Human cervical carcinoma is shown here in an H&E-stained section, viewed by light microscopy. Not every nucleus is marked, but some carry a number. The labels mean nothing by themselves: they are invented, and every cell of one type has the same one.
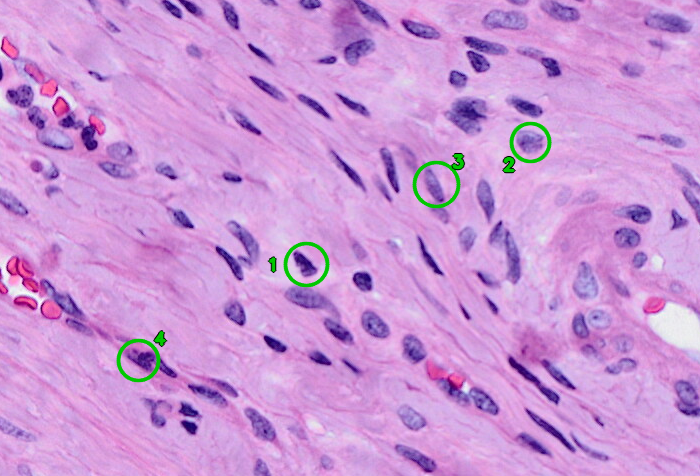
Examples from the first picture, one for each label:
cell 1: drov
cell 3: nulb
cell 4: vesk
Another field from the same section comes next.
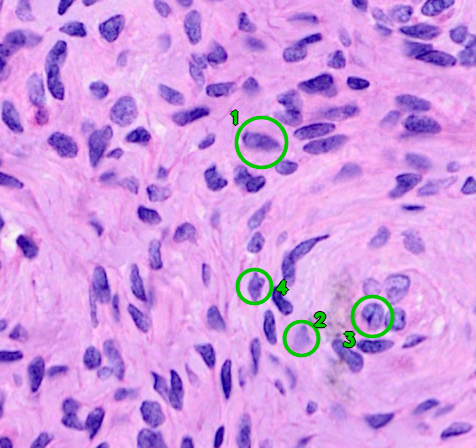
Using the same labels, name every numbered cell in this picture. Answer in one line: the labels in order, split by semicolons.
nulb; nulb; vesk; nulb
